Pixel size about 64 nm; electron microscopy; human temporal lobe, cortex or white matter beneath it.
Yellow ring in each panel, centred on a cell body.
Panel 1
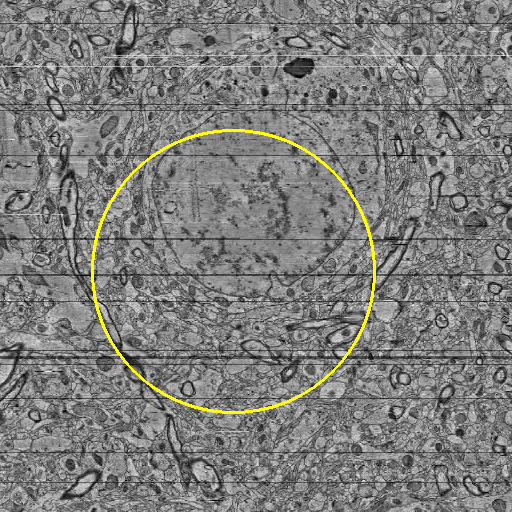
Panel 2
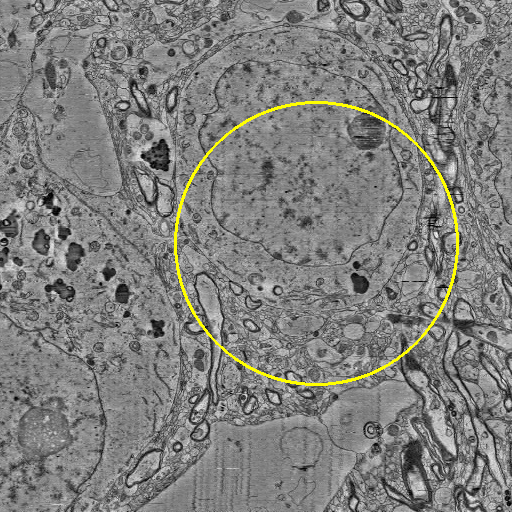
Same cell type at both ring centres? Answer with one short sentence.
Yes, both cells are of the same type.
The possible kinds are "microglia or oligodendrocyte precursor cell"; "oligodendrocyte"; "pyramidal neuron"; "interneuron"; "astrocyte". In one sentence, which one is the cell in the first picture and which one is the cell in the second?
Each cell at the centre of a ring is a pyramidal neuron.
